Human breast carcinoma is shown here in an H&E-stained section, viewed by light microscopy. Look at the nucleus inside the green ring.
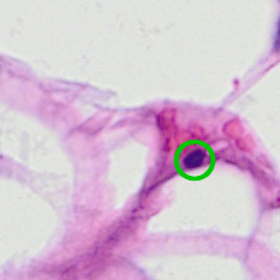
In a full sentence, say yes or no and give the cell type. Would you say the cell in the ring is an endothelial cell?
Yes, it is an endothelial cell that the cell in the ring represents in this section.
